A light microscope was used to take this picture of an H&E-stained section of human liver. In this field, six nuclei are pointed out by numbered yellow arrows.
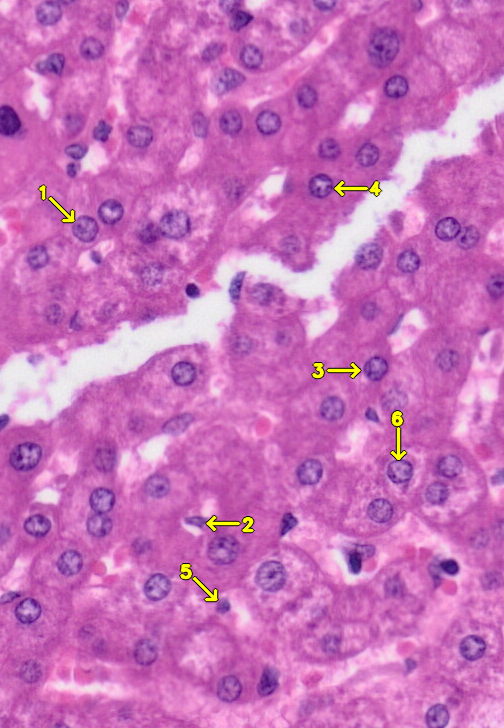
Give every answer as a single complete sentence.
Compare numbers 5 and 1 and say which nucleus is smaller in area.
With nucleus 1 about 2.5 times its size, nucleus 5 is the smaller of the two.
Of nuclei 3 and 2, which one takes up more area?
The larger nucleus is 3, at roughly 2 times the area of 2.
